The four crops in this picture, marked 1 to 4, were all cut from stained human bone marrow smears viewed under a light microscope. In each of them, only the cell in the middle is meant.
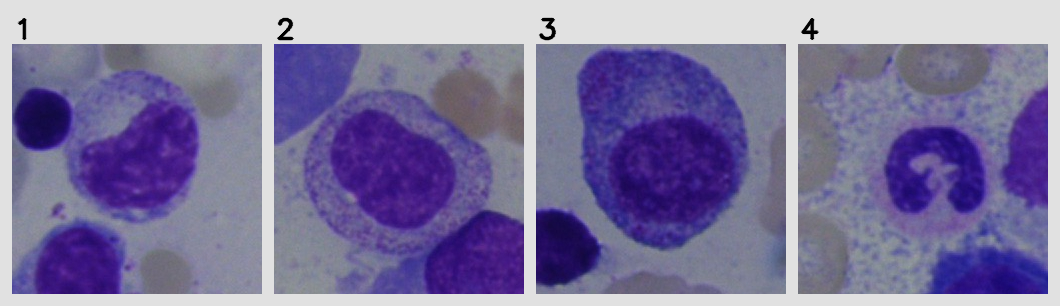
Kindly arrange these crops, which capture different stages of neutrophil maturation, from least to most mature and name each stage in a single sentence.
Ordered by maturation stage, least mature first, these are crop 3 (a promyelocyte), crop 2 (a myelocyte), crop 1 (a metamyelocyte) and crop 4 (a segmented neutrophil).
